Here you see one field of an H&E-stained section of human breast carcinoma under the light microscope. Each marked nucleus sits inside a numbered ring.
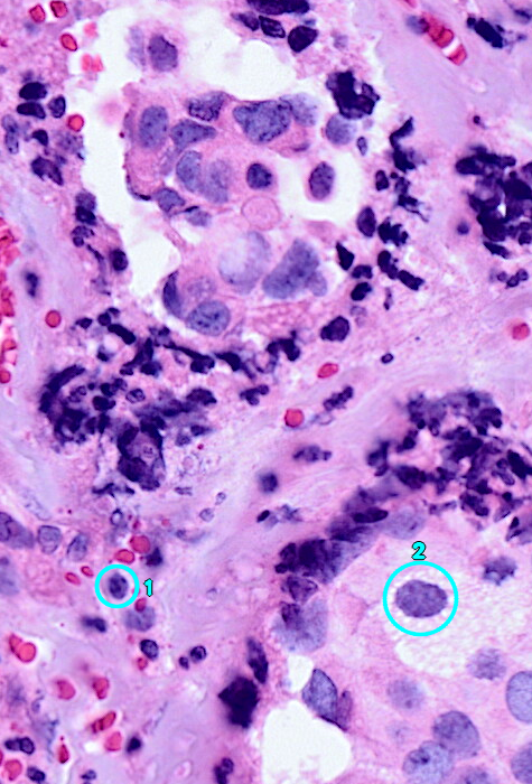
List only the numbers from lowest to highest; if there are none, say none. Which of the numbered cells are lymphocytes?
1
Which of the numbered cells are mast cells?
none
